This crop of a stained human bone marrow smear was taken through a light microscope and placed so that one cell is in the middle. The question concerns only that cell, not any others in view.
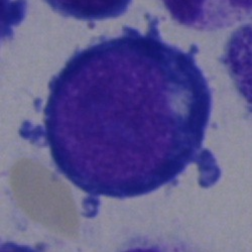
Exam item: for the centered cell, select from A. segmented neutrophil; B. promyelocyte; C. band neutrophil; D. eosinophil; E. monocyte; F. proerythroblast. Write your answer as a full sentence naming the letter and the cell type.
The central cell in this crop is a proerythroblast, corresponding to option F, the correct option.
